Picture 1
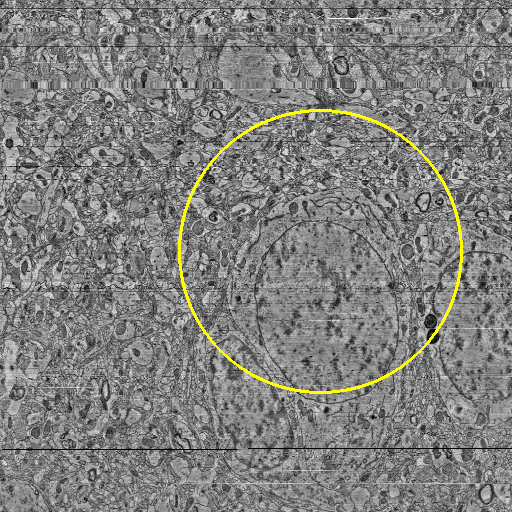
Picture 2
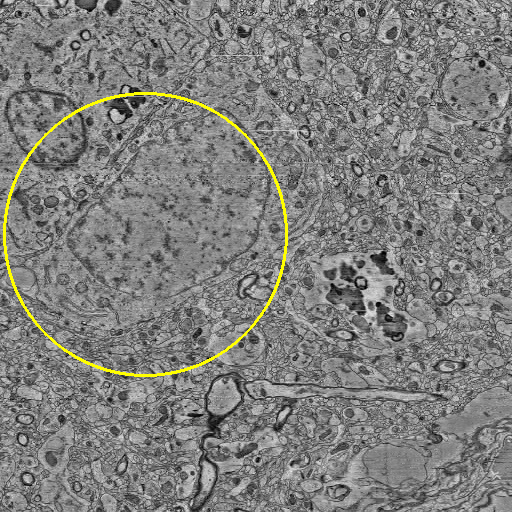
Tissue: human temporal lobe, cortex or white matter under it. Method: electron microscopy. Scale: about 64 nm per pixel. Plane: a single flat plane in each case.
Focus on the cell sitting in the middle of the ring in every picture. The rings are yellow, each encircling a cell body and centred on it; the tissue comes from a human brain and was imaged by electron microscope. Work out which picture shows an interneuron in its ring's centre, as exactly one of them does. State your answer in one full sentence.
In picture 2, the ring is centred on the cell in question.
